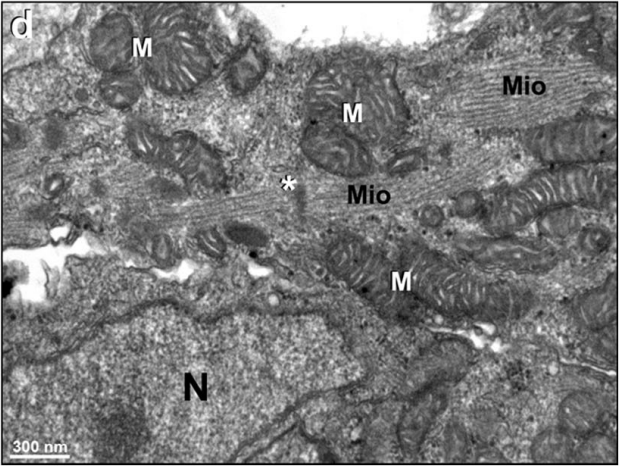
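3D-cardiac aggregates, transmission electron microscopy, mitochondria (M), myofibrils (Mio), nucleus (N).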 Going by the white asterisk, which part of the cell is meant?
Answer: Z lines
